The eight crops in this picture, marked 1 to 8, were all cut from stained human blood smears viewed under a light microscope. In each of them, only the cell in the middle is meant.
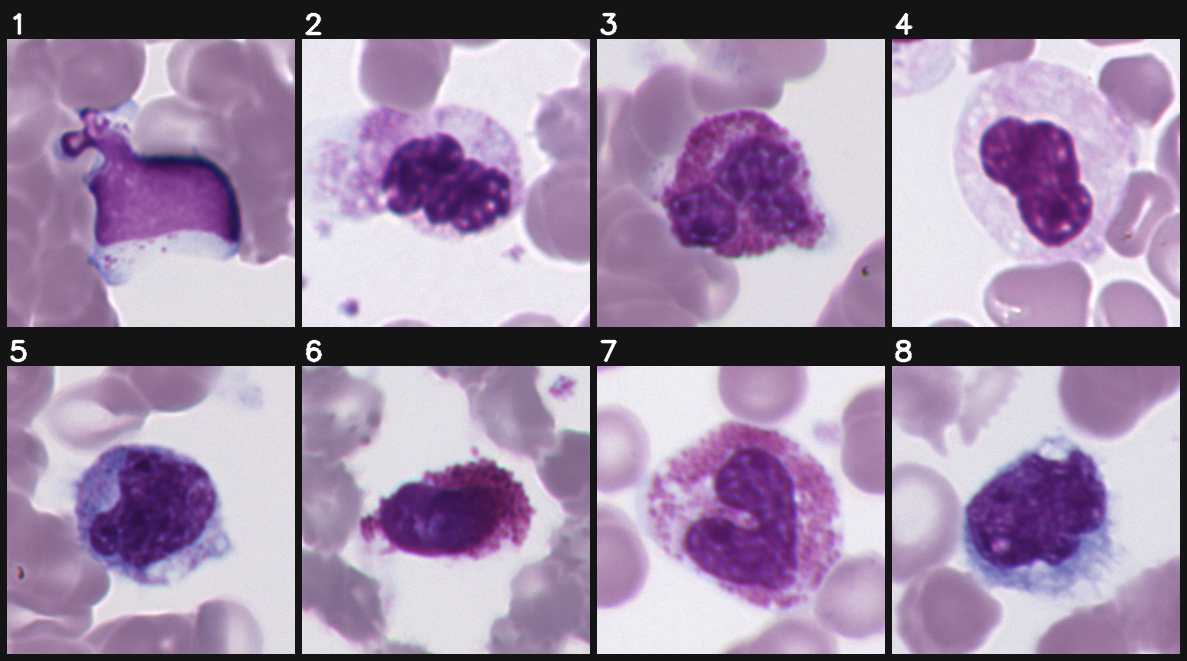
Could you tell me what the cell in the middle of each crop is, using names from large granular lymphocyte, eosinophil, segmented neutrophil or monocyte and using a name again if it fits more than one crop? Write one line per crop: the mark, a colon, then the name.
1: large granular lymphocyte
2: segmented neutrophil
3: eosinophil
4: segmented neutrophil
5: monocyte
6: eosinophil
7: eosinophil
8: monocyte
